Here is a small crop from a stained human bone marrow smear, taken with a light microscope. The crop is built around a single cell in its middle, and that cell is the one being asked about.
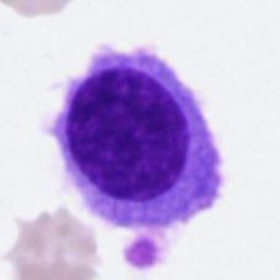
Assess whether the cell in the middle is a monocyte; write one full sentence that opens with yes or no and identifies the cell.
No, the middle of the crop holds a hairy cell, not a monocyte.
